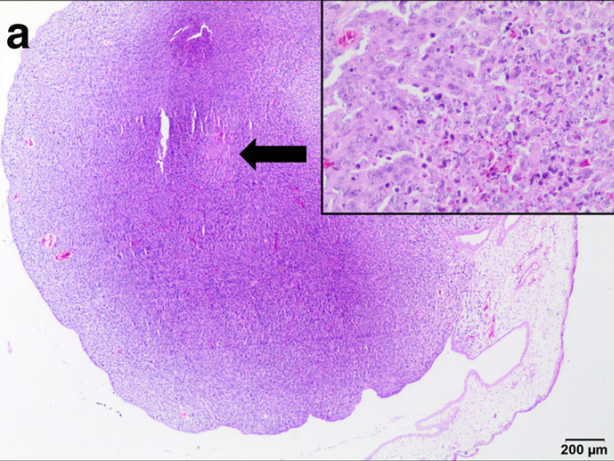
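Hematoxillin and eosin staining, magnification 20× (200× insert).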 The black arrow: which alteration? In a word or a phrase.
Necrosis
